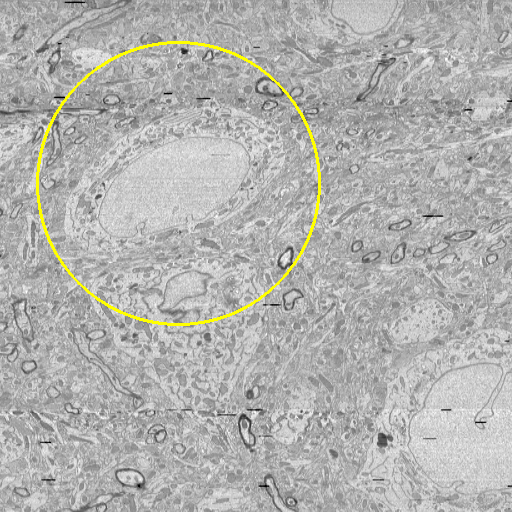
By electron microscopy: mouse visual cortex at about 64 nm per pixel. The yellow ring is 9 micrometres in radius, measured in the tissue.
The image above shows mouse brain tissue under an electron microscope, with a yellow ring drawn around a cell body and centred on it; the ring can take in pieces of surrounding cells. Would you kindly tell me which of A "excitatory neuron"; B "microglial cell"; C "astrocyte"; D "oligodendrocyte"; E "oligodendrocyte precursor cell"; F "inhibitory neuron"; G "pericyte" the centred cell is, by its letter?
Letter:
F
